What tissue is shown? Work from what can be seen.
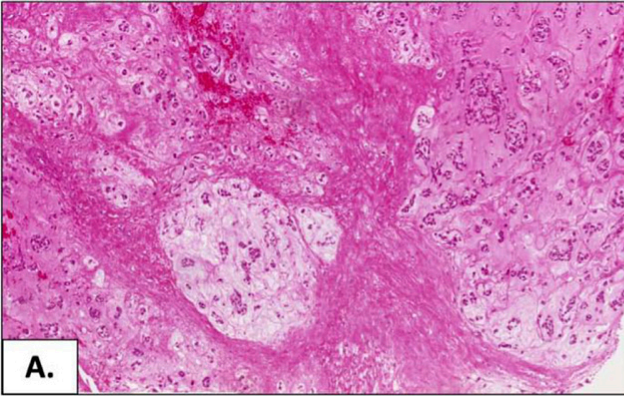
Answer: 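Myxoid stroma. Cells lie scattered in a pale, loose, watery-looking background within the nodules. The background between cells is lighter and less fibrillar than the septa.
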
